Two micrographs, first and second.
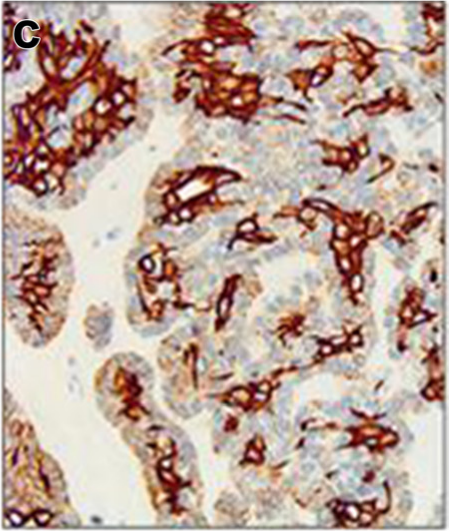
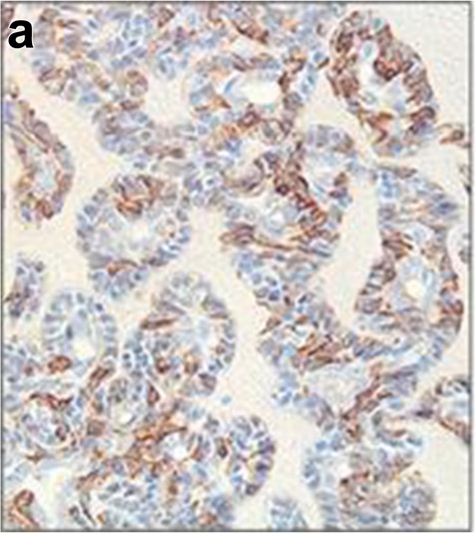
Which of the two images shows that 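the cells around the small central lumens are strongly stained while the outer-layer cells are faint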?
The first image.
